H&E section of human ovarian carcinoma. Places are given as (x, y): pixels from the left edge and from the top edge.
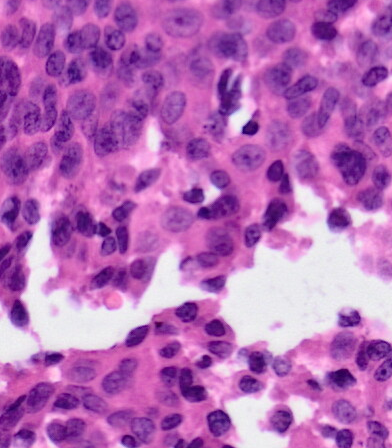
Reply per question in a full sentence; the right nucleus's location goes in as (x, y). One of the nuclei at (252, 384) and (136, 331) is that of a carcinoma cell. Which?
The nucleus that sits at (136, 331) is the nucleus of a carcinoma cell.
